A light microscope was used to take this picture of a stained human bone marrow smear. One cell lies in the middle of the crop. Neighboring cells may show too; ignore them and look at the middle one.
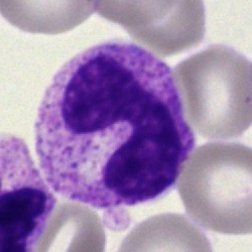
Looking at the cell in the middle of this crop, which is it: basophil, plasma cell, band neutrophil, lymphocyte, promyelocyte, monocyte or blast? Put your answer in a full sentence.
In the centre of this crop there is a band neutrophil.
